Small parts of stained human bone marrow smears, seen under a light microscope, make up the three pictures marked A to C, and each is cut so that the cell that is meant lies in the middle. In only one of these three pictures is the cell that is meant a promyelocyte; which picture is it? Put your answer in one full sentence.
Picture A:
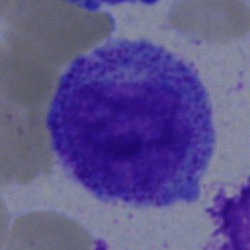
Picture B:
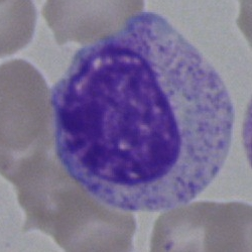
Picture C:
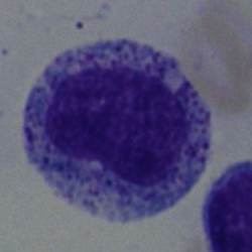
It is picture C that shows the promyelocyte.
